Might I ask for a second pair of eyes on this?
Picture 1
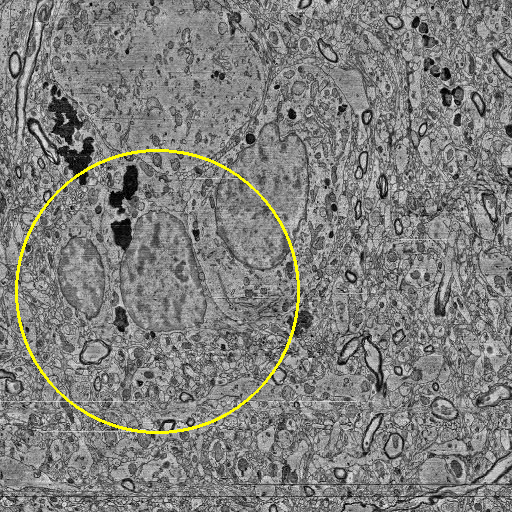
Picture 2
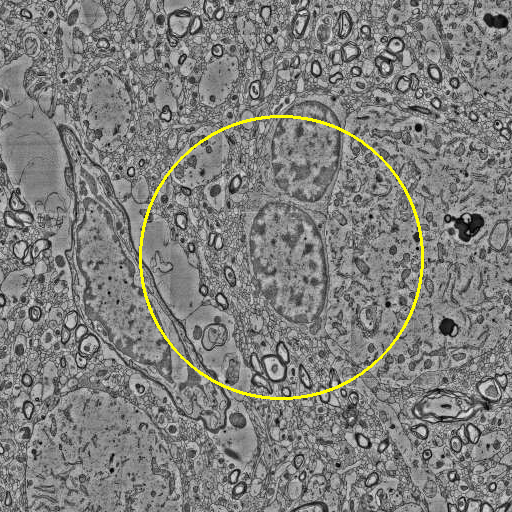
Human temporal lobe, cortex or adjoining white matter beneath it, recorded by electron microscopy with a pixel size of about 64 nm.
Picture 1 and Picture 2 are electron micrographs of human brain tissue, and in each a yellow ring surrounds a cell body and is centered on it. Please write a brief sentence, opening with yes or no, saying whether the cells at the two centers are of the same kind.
Yes, the cells are of the same kind.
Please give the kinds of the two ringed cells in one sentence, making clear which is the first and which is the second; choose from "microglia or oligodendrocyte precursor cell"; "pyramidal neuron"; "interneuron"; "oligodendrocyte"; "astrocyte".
In both pictures the ring is centred on an oligodendrocyte.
